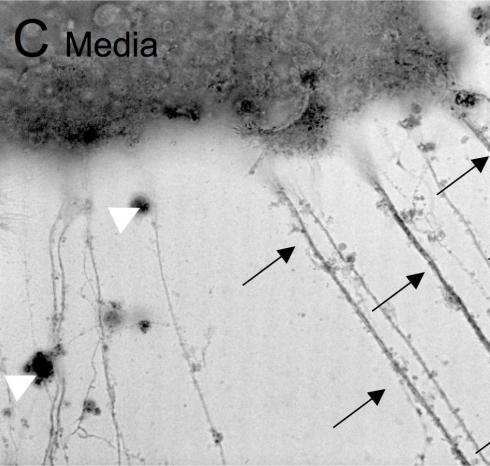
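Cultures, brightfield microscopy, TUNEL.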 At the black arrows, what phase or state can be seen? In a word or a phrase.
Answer: Axonal integrity.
